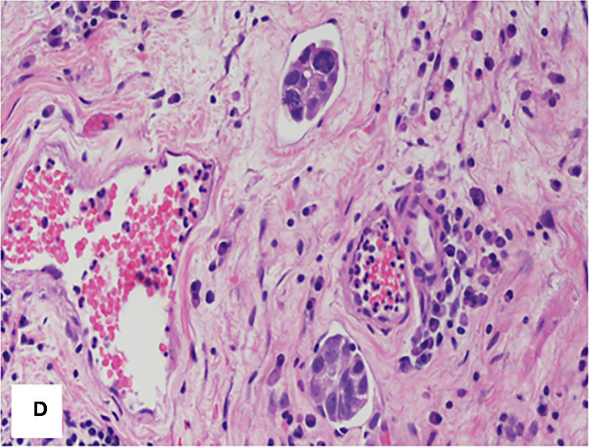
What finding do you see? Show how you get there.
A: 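Small groups of tumor cells into two lymphatic vessels. Two thin-walled spaces each hold a small cluster of cells with large dark nuclei. The clusters are separated from the vessel wall by a clear space. A separate vessel at left is filled with red blood cells.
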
